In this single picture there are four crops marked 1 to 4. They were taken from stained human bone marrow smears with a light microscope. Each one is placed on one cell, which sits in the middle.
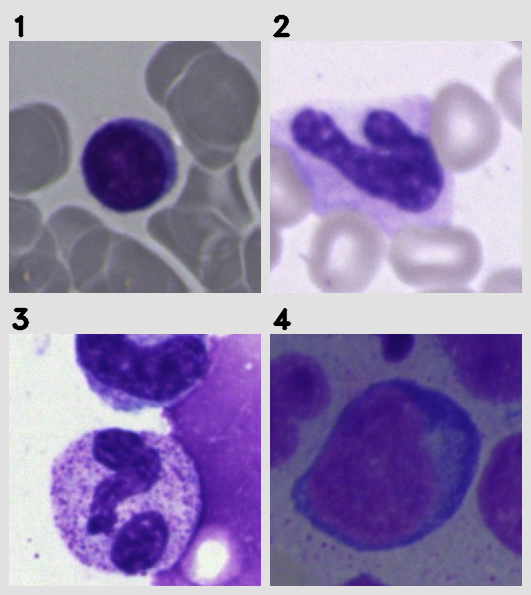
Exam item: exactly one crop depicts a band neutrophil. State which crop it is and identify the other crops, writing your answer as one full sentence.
Crop 2 corresponds to a band neutrophil, whereas crop 1 is a lymphocyte, crop 3 is a segmented neutrophil and crop 4 is a proerythroblast.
